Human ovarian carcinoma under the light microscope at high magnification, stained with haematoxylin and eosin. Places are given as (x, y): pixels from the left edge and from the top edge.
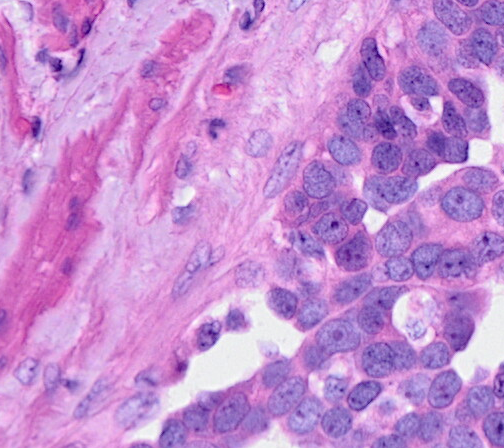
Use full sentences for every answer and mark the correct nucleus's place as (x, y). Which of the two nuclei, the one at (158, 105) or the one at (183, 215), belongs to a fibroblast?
The member of the pair belonging to a fibroblast is the nucleus at (183, 215).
